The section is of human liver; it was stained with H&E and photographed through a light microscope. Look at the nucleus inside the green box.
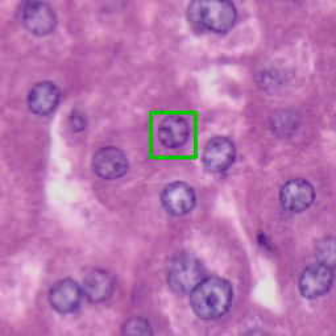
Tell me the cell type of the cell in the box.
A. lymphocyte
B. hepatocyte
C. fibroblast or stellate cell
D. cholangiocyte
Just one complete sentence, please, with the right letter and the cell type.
Option B is right, and the cell in the box is a hepatocyte.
